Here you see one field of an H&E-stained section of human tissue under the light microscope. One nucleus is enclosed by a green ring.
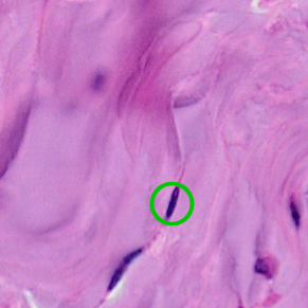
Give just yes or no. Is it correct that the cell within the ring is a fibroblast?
yes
